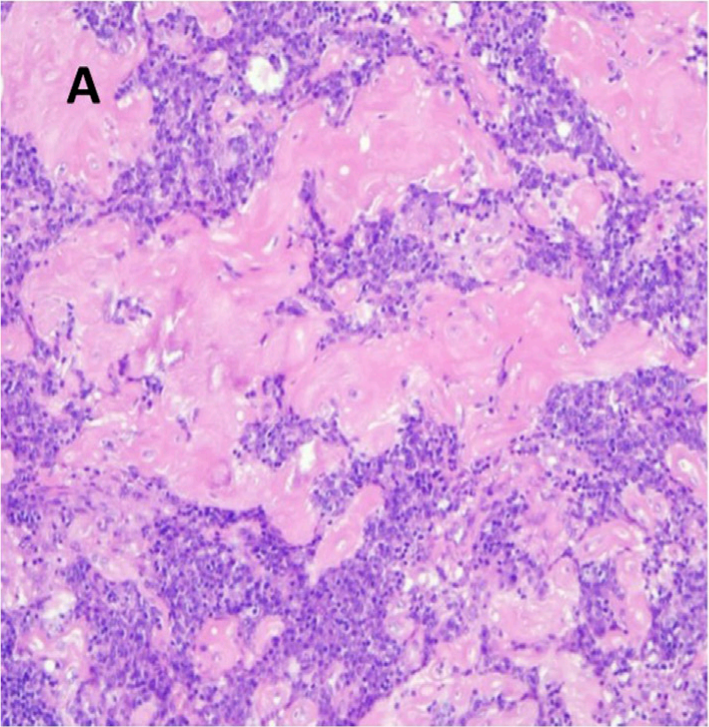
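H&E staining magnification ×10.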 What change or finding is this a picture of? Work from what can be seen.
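Broad, glassy, homogeneous pale pink acellular material takes up much of the field. Bands and clusters of small dark round cells lie between the pink masses.
Answer: hyalin deposition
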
